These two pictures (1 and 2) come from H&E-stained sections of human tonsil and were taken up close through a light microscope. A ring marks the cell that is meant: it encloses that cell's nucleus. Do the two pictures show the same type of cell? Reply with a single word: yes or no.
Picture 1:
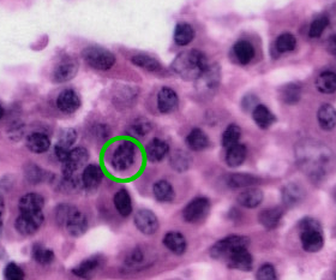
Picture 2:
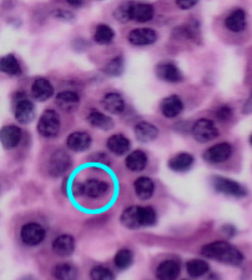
yes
